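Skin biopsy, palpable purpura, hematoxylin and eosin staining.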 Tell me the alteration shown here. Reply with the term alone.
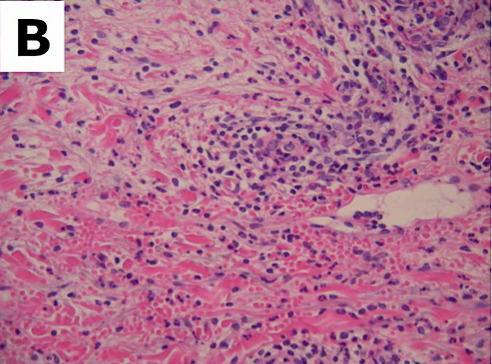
Perivascular infiltration of leukocytes.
